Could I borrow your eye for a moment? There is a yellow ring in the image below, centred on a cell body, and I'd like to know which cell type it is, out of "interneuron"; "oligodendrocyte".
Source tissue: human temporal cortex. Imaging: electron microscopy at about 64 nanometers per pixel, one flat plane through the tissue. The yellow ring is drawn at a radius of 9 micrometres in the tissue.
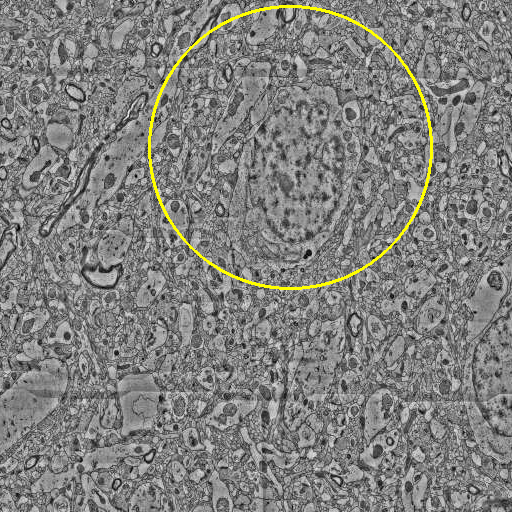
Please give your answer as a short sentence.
The cell body at the centre is that of an interneuron.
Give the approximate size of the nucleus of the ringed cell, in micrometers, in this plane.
Approximately 9 by 6 micrometers in this plane.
